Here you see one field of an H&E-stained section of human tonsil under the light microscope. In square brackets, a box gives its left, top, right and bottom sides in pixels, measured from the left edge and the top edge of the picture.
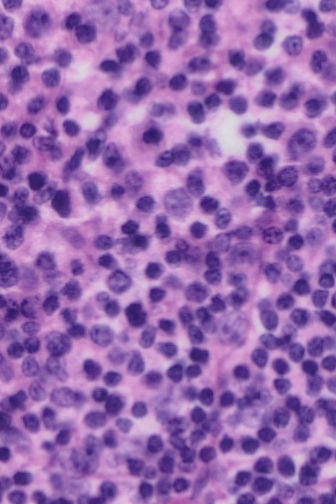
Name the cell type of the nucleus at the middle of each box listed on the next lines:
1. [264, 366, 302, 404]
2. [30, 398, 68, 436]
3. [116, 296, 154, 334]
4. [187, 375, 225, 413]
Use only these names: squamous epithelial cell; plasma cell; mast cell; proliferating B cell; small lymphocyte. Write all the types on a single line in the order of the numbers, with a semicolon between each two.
small lymphocyte; proliferating B cell; proliferating B cell; small lymphocyte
